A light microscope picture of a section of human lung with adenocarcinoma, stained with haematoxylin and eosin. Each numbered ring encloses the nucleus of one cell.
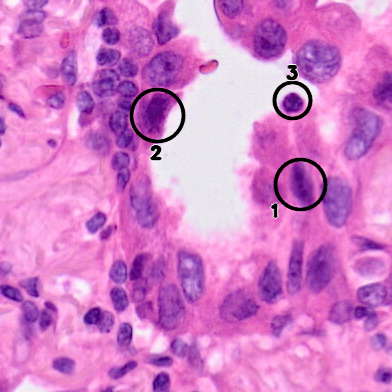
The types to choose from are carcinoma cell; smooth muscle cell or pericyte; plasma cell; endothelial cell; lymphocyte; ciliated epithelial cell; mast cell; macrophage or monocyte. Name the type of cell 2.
carcinoma cell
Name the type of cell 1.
carcinoma cell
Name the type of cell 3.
lymphocyte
